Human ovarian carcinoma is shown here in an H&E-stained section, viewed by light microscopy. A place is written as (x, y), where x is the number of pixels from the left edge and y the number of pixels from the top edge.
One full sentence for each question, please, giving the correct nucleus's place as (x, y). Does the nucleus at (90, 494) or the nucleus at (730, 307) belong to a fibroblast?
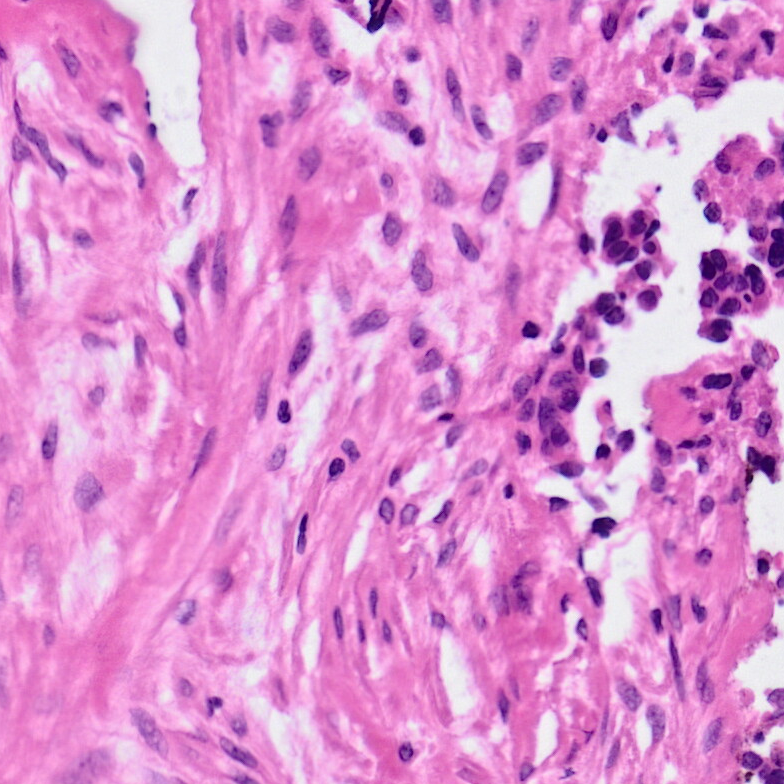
Of the pair, the nucleus located at (90, 494) belongs to a fibroblast.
